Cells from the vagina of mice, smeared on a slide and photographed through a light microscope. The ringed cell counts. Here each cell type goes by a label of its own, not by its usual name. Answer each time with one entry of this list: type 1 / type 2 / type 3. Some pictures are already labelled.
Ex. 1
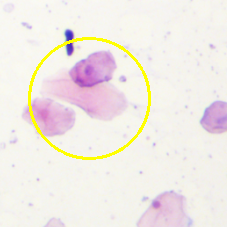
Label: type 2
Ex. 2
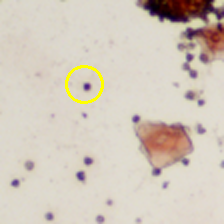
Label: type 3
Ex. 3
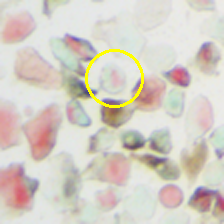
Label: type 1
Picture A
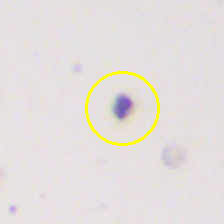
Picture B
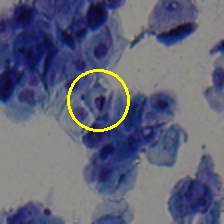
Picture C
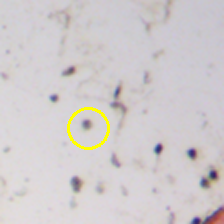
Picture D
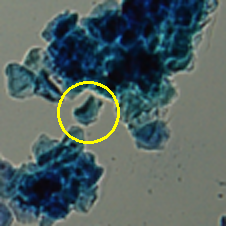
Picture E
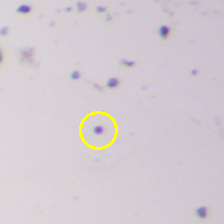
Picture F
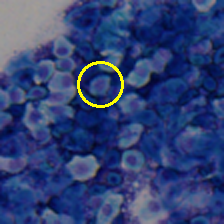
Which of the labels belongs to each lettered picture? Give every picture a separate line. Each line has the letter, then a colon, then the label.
A: type 3
B: type 1
C: type 3
D: type 2
E: type 3
F: type 1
